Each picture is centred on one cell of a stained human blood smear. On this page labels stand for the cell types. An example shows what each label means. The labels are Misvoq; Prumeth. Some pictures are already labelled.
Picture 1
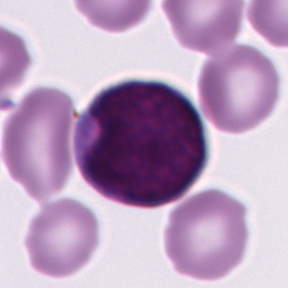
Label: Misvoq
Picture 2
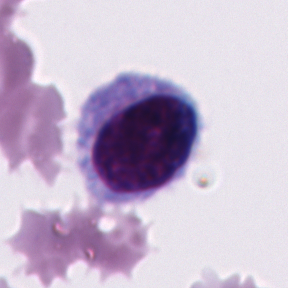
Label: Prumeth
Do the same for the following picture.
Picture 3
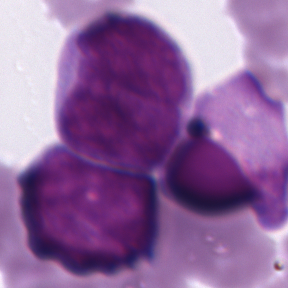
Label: Misvoq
